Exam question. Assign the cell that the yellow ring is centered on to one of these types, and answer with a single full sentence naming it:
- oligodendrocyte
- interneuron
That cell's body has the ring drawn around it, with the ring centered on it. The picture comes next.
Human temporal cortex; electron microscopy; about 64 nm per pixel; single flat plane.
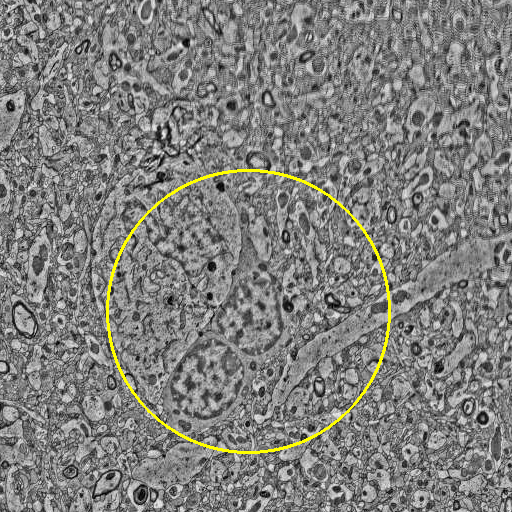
In the micrograph, the cell the yellow ring is centered on is an oligodendrocyte.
